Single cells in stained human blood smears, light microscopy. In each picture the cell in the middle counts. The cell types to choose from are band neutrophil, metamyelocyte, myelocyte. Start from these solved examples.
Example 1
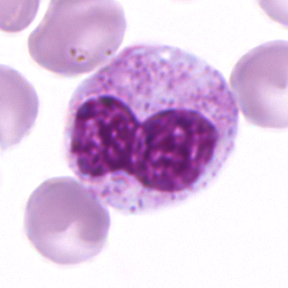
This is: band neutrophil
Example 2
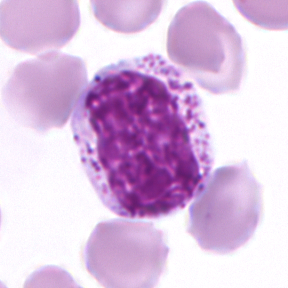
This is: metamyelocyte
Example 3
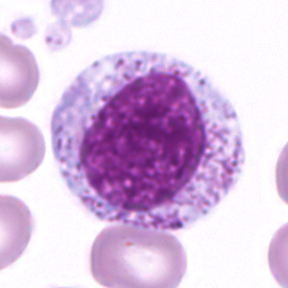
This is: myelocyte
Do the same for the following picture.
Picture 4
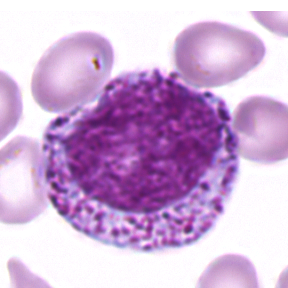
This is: myelocyte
